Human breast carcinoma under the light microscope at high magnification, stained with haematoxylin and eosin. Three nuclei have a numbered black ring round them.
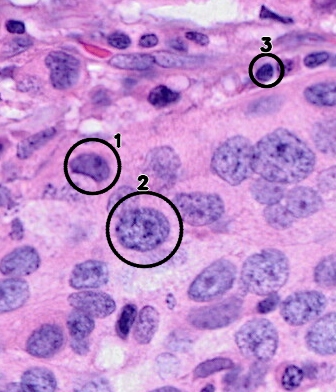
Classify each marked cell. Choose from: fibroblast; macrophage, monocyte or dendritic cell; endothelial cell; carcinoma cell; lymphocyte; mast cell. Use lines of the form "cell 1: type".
cell 1: carcinoma cell
cell 2: carcinoma cell
cell 3: lymphocyte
